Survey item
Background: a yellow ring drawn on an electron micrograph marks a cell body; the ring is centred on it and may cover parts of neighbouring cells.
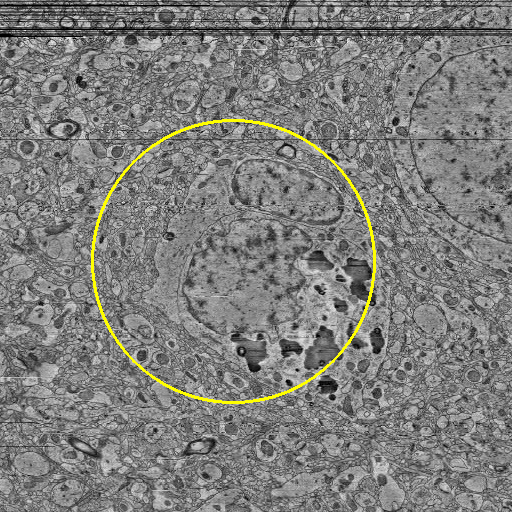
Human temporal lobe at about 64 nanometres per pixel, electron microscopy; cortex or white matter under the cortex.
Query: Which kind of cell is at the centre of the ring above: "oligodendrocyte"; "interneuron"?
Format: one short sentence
The cell in the middle of the ring is an interneuron.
